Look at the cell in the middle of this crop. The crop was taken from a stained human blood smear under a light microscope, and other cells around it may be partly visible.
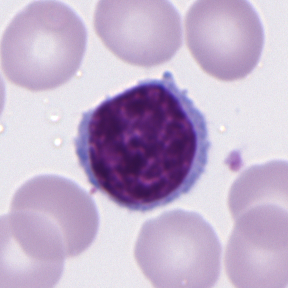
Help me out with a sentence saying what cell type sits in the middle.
In this crop, the cell at the very middle is a typical lymphocyte.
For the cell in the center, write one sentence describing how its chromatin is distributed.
This nucleus has coarsely clumped chromatin.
